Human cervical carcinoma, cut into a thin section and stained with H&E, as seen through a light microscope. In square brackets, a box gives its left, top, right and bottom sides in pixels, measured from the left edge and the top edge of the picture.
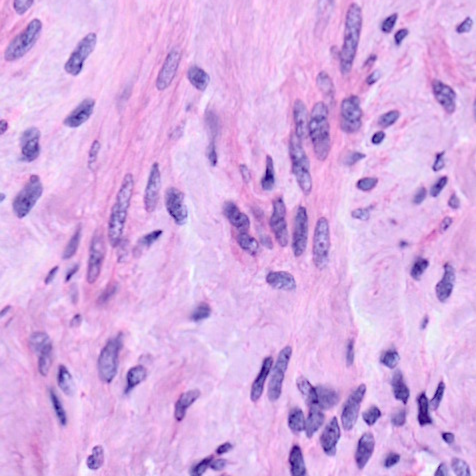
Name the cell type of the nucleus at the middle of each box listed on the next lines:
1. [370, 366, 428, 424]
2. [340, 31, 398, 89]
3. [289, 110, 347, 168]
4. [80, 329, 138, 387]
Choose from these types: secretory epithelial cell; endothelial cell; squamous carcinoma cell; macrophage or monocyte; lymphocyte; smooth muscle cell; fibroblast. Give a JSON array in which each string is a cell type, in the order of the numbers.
["fibroblast", "smooth muscle cell", "smooth muscle cell", "smooth muscle cell"]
